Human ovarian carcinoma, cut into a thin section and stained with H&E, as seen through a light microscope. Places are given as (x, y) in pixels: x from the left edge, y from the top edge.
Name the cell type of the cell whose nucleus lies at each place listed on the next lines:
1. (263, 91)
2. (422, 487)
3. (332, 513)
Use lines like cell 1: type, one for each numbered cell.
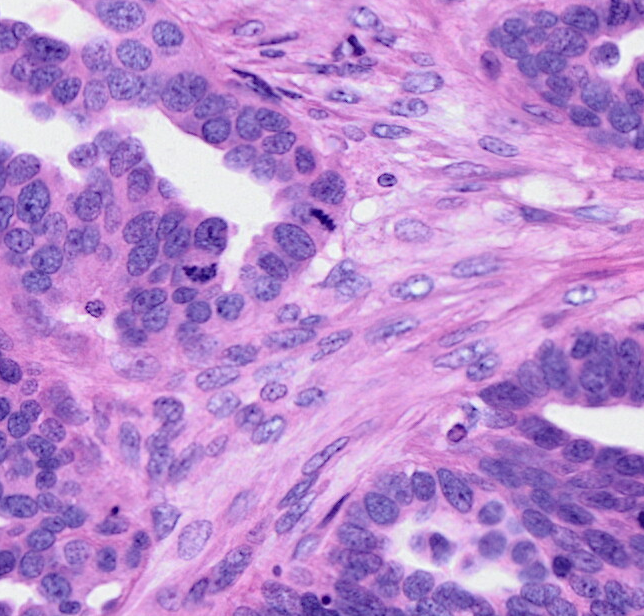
cell 1: fibroblast
cell 2: carcinoma cell
cell 3: fibroblast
